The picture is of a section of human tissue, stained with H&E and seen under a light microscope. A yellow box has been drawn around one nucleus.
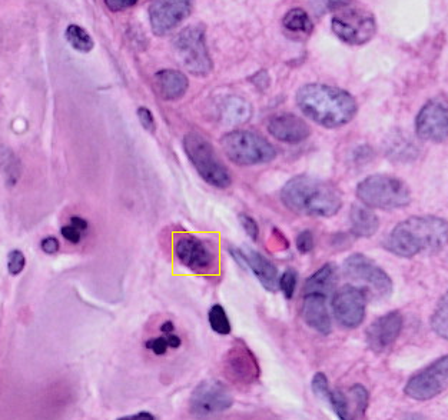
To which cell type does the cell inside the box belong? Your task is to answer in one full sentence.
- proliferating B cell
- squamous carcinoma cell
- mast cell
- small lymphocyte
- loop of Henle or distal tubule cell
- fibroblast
Students should answer that the cell inside the box is a mast cell.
